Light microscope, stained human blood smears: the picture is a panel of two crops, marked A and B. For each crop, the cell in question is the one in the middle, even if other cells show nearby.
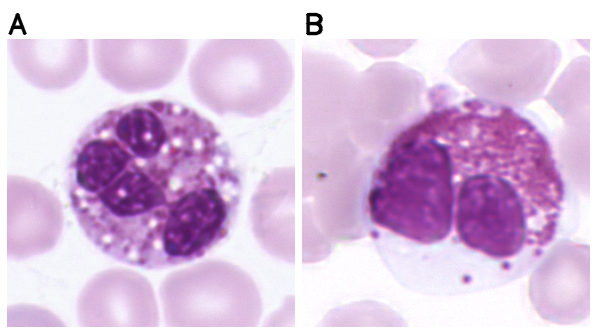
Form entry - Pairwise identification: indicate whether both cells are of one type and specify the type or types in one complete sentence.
Yes, they do, both crops show eosinophils.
